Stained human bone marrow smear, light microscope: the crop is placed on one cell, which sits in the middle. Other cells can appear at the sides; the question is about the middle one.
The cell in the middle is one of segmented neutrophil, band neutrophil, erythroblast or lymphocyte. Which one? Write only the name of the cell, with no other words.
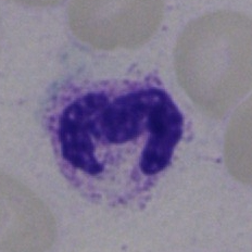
segmented neutrophil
